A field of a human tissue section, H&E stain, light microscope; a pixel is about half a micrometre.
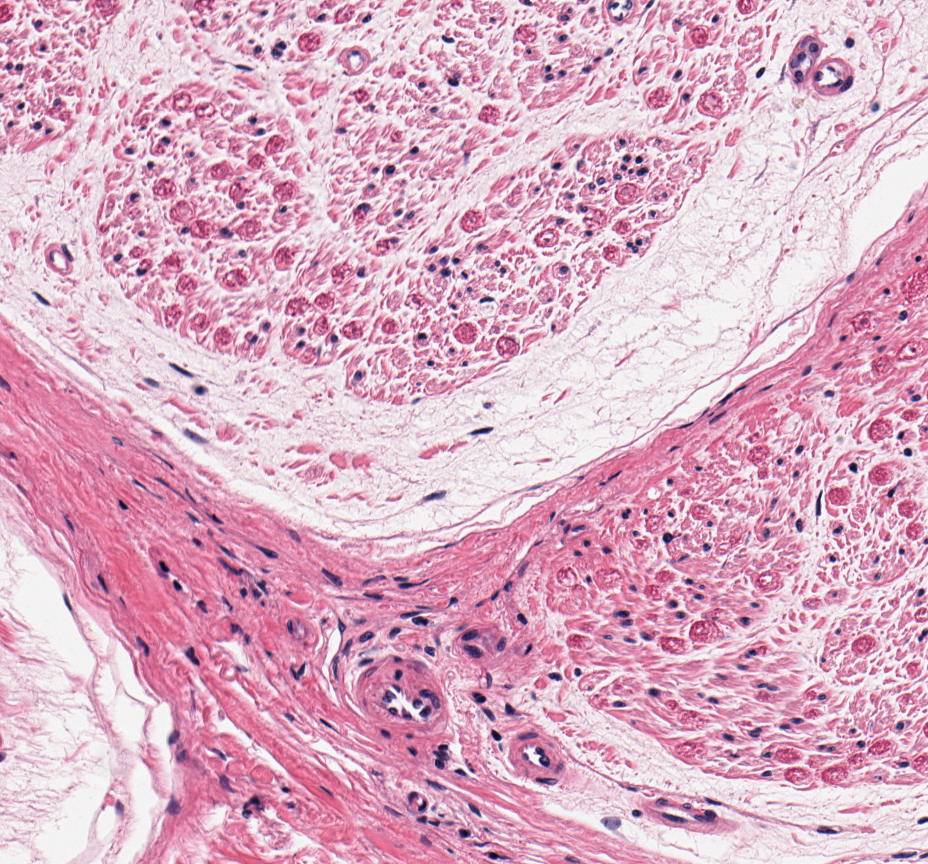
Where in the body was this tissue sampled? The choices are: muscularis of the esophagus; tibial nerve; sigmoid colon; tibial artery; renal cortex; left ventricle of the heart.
tibial nerve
